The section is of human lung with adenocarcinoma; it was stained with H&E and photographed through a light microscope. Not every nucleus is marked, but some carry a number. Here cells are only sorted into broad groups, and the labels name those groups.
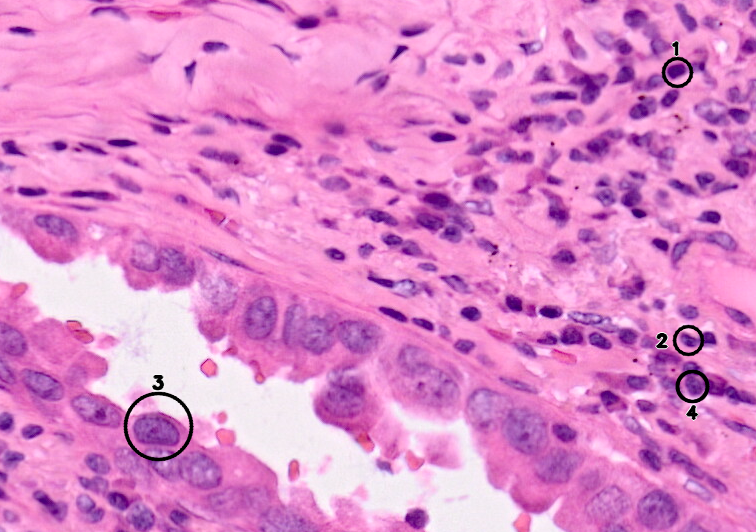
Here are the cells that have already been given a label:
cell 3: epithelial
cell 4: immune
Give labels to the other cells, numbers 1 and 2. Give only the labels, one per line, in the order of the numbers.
immune
immune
